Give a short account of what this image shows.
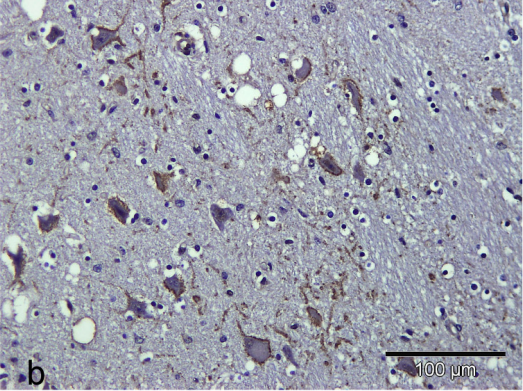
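Many neuron cell bodies are tinged brown, and fine brown dots and short threads lie along their processes in the surrounding tissue. Round clear vacuoles are scattered through the tissue, some within or next to neurons.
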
